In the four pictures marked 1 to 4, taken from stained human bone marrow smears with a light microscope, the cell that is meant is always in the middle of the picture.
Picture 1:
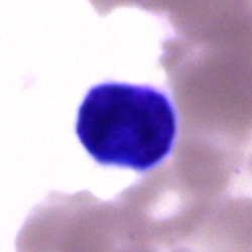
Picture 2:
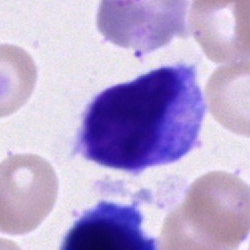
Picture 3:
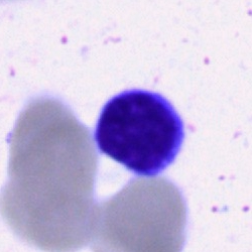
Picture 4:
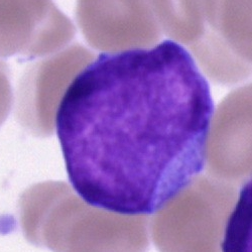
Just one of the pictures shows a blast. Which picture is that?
4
